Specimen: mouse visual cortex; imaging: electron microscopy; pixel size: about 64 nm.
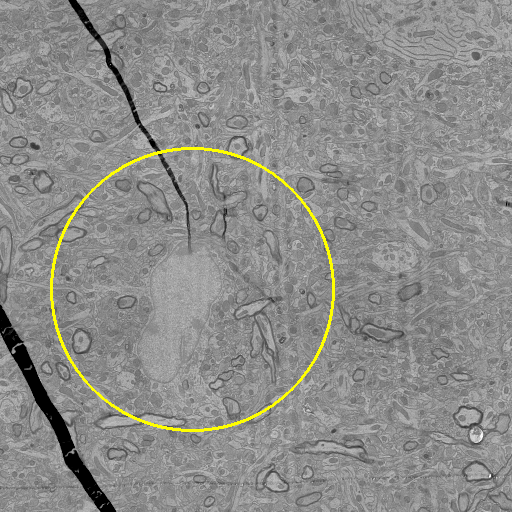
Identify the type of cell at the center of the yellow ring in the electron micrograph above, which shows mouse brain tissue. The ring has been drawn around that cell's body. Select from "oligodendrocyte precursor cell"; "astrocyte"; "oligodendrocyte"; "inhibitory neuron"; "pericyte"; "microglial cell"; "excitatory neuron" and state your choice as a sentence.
The yellow ring is centered on the body of an astrocyte.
